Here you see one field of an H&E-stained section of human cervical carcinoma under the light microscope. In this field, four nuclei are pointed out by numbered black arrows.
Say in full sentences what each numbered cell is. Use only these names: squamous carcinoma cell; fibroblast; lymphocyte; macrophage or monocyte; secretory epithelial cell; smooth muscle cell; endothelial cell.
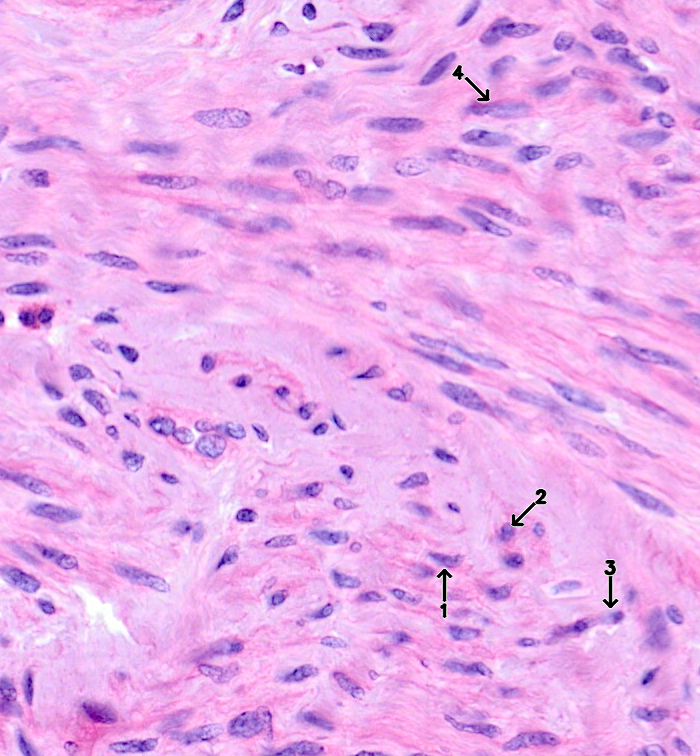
Cell 1 is a smooth muscle cell, cell 2 is a smooth muscle cell, cell 3 is a fibroblast and cell 4 is a smooth muscle cell.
